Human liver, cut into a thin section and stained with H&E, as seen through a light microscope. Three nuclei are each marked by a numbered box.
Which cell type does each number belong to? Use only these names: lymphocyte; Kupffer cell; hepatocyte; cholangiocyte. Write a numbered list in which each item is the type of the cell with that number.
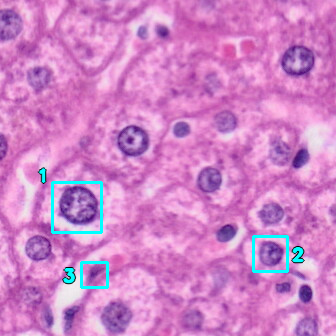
1. hepatocyte
2. hepatocyte
3. Kupffer cell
